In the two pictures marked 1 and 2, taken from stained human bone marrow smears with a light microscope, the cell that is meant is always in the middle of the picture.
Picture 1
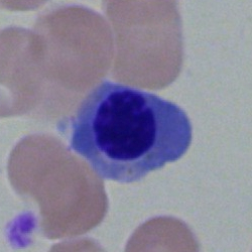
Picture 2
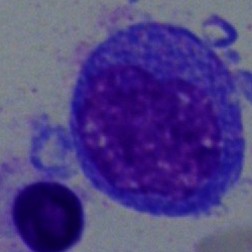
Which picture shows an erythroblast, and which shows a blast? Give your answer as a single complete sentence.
The cell in picture 1 is an erythroblast, and the one in picture 2 is a blast.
